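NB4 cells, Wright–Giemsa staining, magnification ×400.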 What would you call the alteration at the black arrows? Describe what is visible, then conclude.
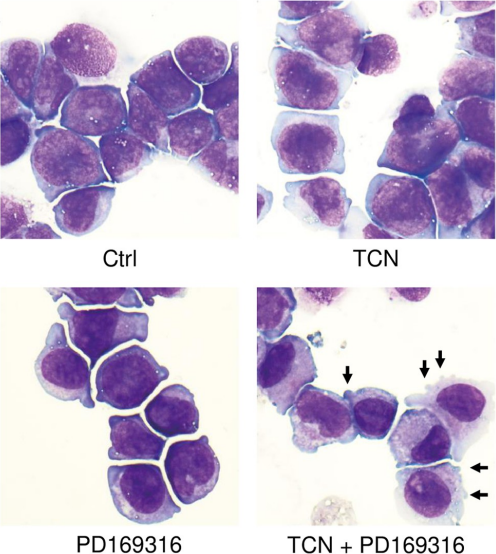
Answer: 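Budding. The arrows point to small pale bulges at the edges of the cells.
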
